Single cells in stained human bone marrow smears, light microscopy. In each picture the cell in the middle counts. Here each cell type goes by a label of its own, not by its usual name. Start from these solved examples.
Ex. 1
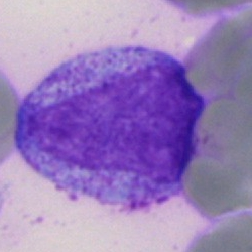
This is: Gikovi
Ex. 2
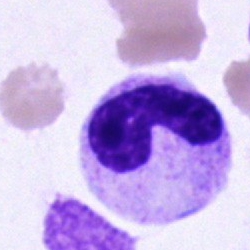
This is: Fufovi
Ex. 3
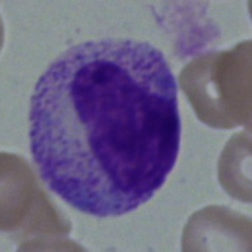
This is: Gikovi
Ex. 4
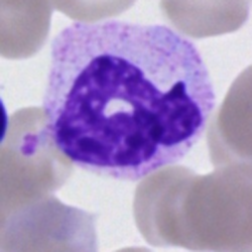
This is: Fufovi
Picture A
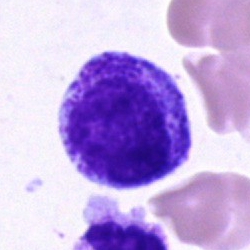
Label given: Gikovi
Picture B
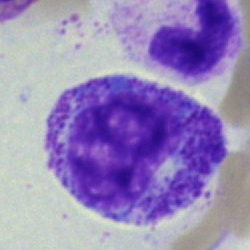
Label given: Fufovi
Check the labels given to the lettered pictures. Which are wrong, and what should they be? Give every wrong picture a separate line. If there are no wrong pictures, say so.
B: not Fufovi but Gikovi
